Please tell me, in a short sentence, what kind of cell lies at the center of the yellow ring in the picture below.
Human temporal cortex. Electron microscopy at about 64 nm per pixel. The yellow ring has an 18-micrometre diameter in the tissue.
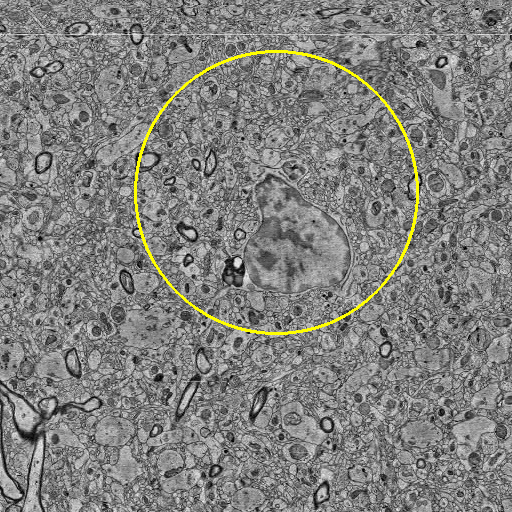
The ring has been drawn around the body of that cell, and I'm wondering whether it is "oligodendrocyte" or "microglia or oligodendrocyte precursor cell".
The cell at the center of the ring is a microglial cell or oligodendrocyte precursor cell.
